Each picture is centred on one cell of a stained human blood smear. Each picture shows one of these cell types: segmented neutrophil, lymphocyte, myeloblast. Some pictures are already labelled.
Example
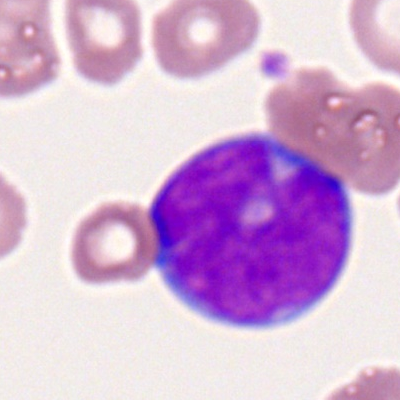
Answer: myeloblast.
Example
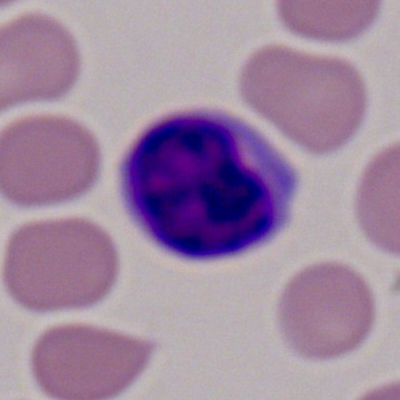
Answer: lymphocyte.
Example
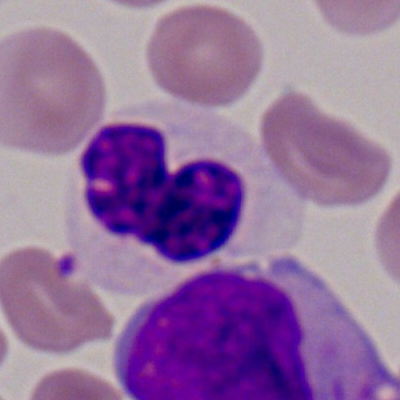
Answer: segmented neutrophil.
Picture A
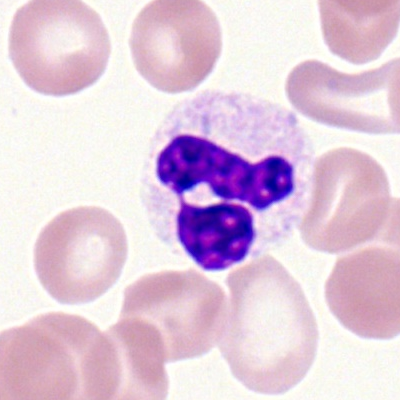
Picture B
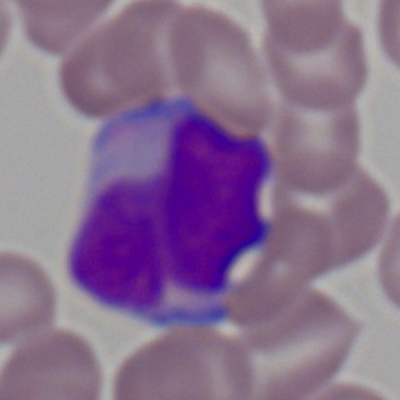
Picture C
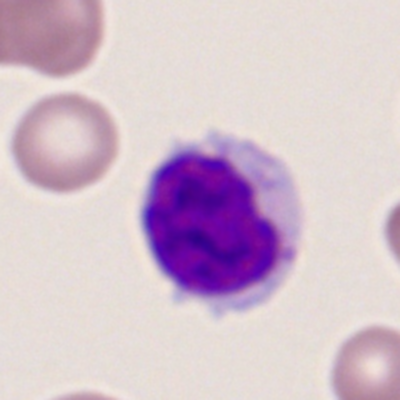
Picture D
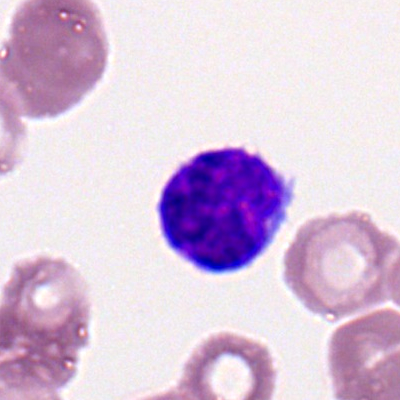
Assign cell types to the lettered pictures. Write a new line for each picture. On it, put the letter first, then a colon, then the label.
A: segmented neutrophil.
B: myeloblast.
C: lymphocyte.
D: lymphocyte.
